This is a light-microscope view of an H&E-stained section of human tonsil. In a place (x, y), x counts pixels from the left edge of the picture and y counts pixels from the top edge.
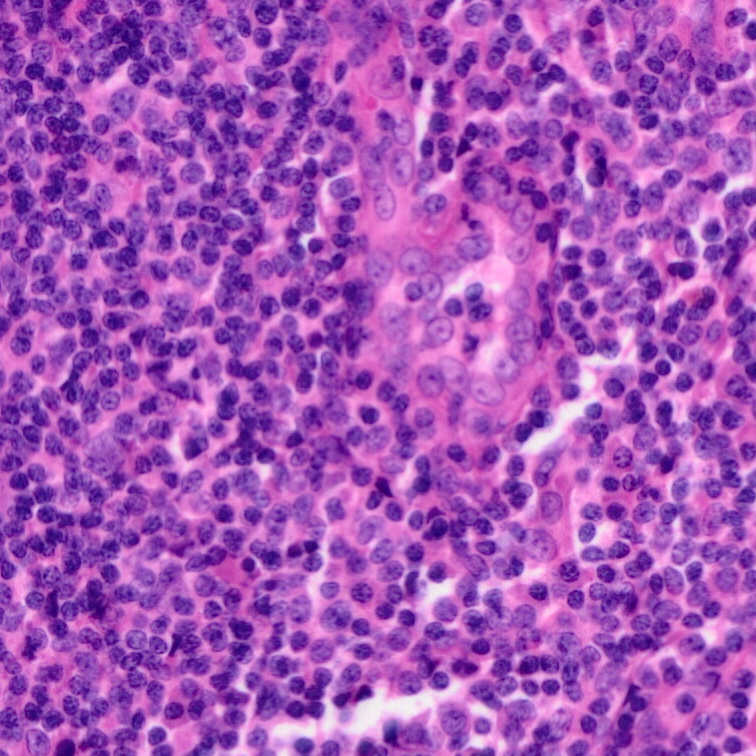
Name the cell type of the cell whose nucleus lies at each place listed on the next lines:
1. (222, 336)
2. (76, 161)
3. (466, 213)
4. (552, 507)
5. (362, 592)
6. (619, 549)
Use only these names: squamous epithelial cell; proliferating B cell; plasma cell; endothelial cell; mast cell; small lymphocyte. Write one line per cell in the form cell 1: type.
cell 1: small lymphocyte
cell 2: small lymphocyte
cell 3: endothelial cell
cell 4: endothelial cell
cell 5: plasma cell
cell 6: small lymphocyte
